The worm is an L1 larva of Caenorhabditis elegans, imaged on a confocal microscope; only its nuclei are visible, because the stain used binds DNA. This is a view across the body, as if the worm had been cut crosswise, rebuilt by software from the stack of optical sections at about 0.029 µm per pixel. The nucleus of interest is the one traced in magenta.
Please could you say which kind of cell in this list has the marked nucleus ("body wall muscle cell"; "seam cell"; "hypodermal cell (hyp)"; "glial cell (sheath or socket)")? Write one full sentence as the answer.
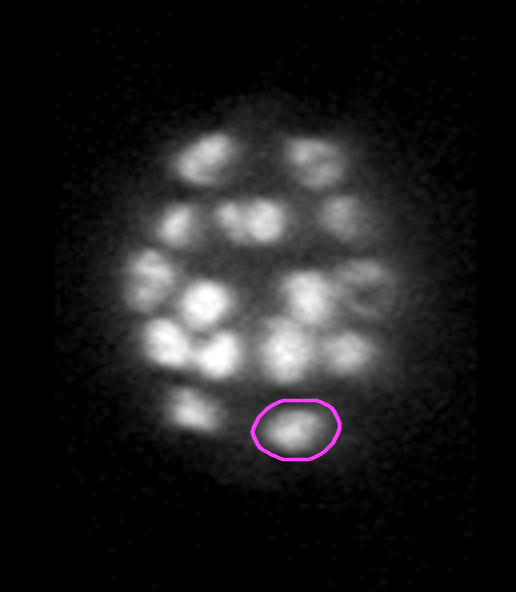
The nucleus comes from a body wall muscle cell.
